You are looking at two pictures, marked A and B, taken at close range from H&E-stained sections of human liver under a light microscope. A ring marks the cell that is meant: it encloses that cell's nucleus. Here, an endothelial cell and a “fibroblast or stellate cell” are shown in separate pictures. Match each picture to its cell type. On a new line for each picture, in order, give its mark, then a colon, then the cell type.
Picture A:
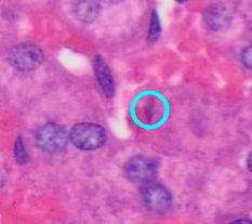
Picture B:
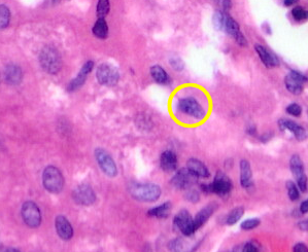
A: endothelial cell
B: fibroblast or stellate cell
